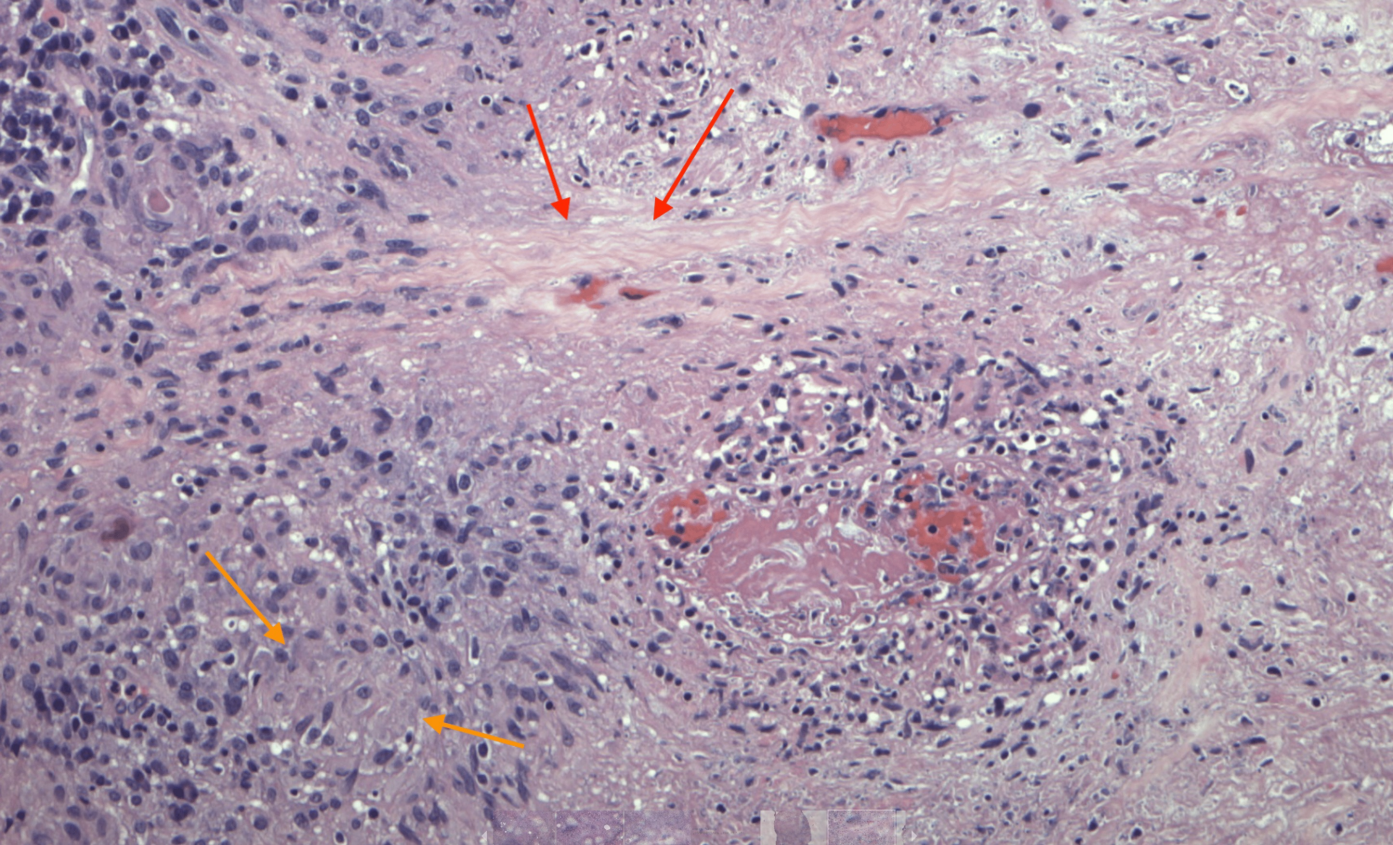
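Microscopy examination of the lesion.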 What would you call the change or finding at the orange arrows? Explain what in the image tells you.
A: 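The orange arrows point to a loose cluster of cells with elongated, pale oval nuclei and ample pale pink cytoplasm. These cells lie among many small dark-nucleated inflammatory cells. So: Granulomatous inflammatory infiltrate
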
